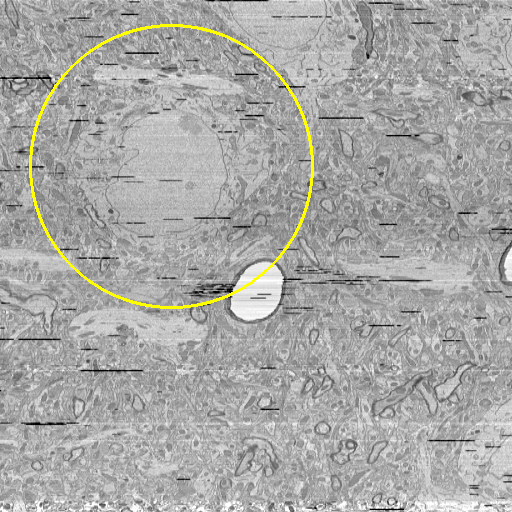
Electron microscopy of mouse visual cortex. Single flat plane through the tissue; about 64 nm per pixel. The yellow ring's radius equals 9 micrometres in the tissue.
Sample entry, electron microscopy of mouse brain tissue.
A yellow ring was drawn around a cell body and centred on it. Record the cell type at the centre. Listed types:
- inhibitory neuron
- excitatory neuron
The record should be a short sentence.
The cell at the ring's centre is an excitatory neuron.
